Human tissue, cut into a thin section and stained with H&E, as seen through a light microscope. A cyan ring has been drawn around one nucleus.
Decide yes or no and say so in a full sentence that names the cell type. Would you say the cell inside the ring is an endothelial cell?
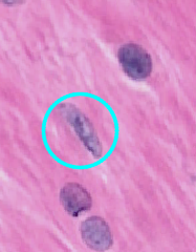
No, the cell inside the ring is not an endothelial cell, but is instead a fibroblast.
